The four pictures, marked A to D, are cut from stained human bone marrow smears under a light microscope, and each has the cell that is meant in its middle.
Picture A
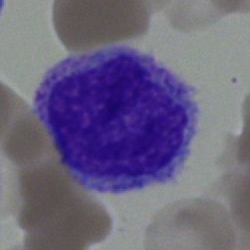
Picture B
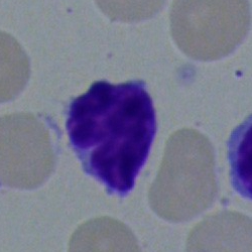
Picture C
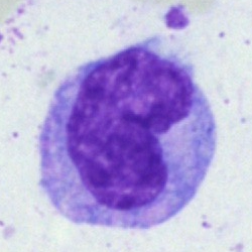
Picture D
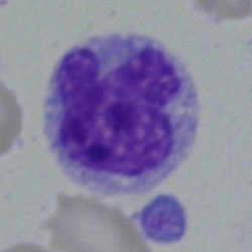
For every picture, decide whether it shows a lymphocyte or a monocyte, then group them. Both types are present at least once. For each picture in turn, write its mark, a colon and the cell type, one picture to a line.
A: monocyte
B: lymphocyte
C: monocyte
D: monocyte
